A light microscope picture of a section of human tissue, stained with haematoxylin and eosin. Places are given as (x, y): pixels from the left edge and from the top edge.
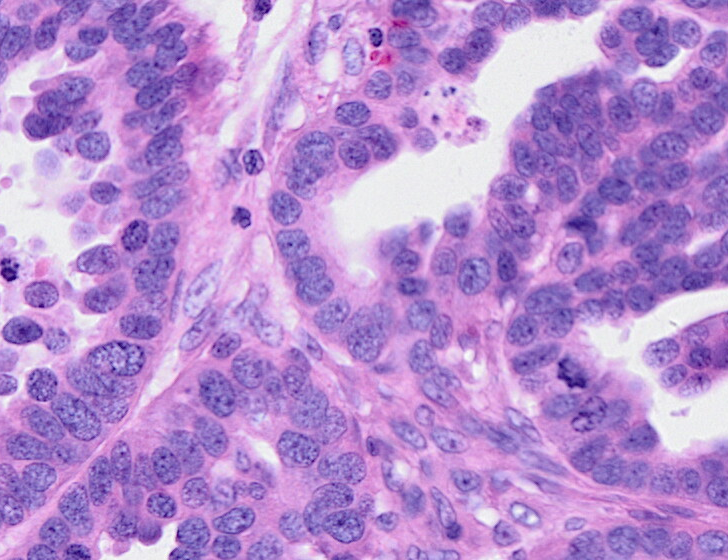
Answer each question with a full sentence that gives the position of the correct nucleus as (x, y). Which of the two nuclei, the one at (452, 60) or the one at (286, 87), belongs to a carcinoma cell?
The nucleus at (452, 60) is contained in a carcinoma cell.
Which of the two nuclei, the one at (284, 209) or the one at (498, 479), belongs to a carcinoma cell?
The cell to which the nucleus at (284, 209) belongs is a carcinoma cell.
